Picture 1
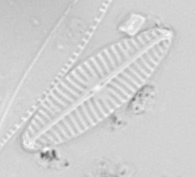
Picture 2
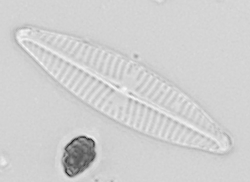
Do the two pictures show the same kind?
Yes, both are Navicula.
